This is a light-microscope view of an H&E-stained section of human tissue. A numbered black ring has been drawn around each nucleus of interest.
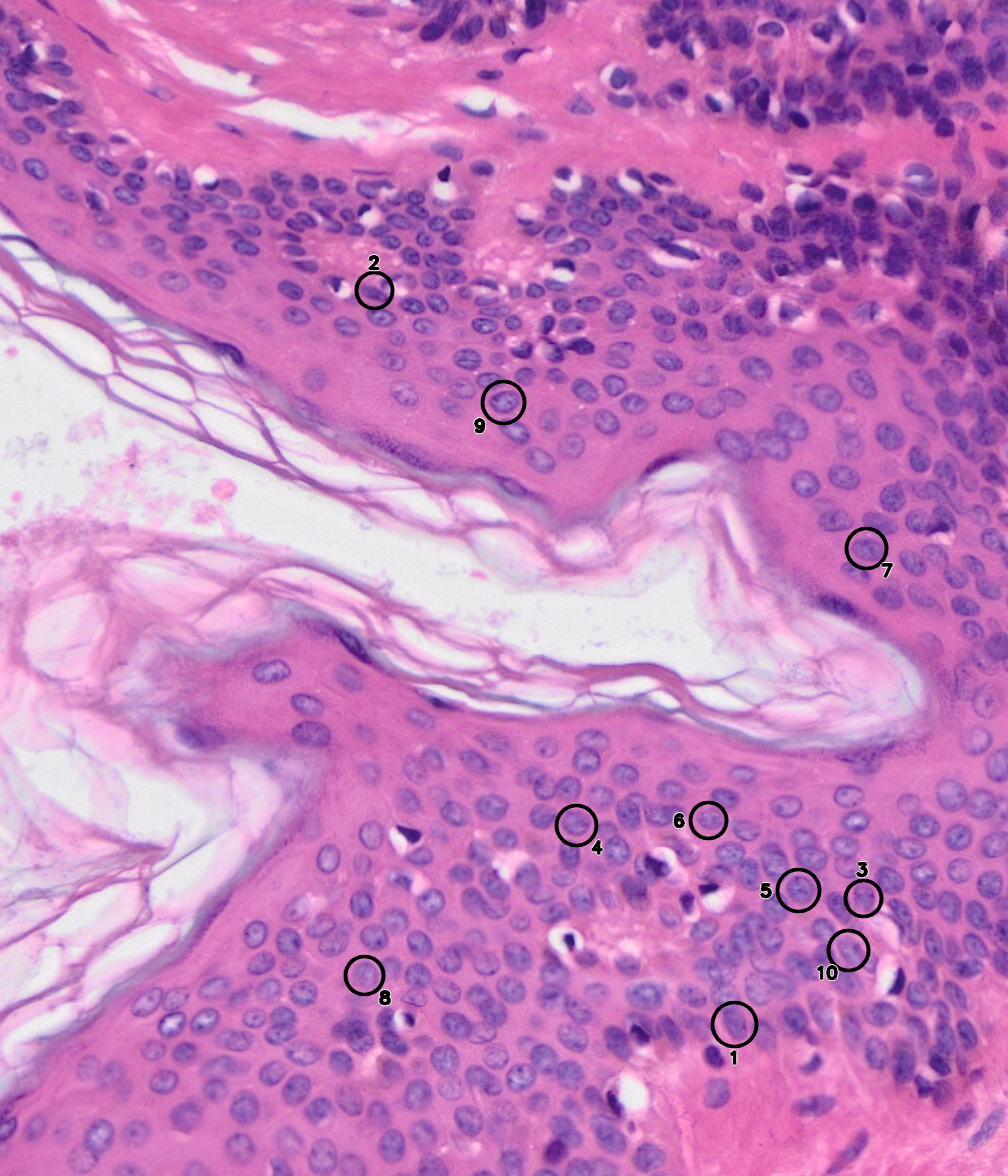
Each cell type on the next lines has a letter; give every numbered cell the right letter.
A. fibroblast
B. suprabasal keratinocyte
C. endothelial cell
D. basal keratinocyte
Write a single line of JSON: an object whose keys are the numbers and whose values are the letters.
{"1": "D", "2": "D", "3": "D", "4": "B", "5": "B", "6": "B", "7": "B", "8": "B", "9": "B", "10": "D"}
